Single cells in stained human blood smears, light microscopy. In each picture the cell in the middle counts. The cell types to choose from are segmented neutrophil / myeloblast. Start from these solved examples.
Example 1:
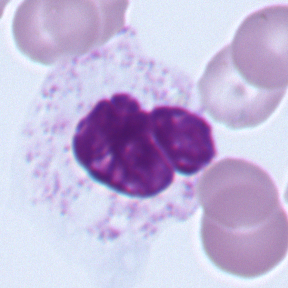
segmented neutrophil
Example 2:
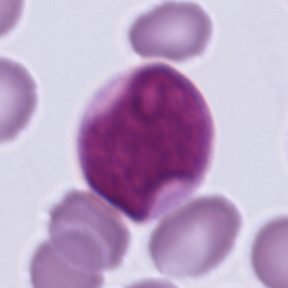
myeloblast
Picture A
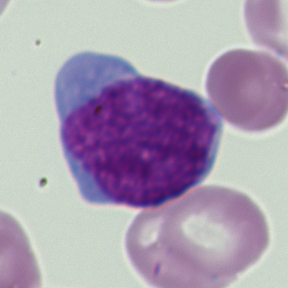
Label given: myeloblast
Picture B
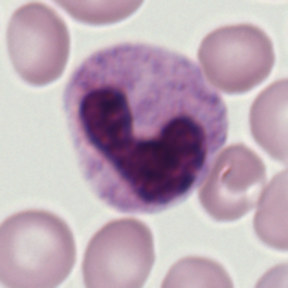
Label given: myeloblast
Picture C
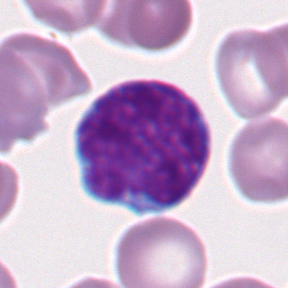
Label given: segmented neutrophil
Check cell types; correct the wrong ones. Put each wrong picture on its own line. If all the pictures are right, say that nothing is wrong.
B: segmented neutrophil, not myeloblast
C: myeloblast, not segmented neutrophil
